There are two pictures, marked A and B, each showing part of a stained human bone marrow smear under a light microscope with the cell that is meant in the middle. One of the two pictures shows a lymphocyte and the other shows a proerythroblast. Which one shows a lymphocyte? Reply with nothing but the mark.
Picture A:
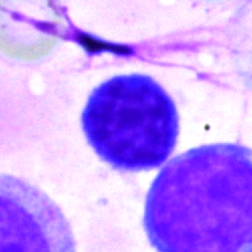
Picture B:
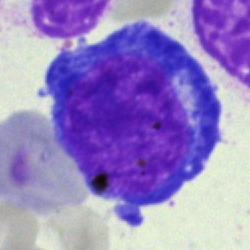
A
